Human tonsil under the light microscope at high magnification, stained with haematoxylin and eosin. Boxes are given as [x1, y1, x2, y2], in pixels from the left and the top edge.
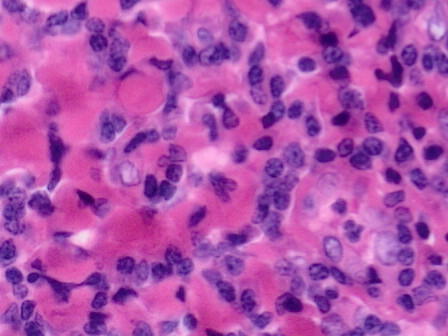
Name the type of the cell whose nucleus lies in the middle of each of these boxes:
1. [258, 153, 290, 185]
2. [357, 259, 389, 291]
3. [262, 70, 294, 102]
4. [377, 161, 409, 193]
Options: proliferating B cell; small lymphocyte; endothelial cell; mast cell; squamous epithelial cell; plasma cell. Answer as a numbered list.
1. plasma cell
2. endothelial cell
3. plasma cell
4. plasma cell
